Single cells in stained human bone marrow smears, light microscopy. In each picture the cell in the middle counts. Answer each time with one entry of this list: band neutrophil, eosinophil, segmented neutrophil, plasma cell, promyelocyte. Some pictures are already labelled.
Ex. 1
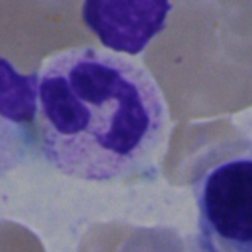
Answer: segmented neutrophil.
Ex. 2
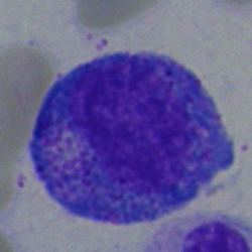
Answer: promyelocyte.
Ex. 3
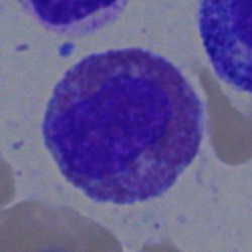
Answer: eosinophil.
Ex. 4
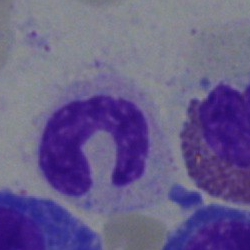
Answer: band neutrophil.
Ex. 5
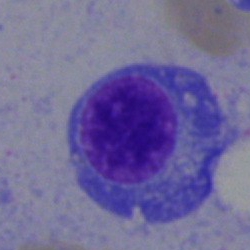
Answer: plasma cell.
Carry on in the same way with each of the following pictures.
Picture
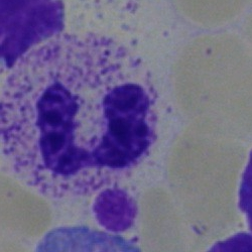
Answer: segmented neutrophil.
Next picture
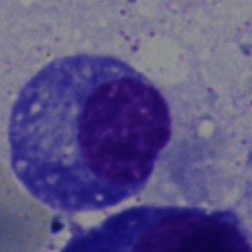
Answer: plasma cell.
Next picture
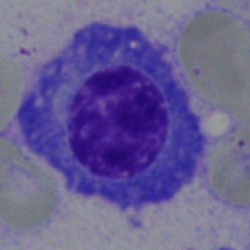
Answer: plasma cell.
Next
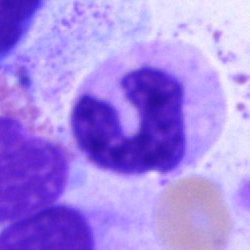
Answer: band neutrophil.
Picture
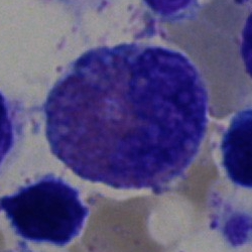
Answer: eosinophil.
